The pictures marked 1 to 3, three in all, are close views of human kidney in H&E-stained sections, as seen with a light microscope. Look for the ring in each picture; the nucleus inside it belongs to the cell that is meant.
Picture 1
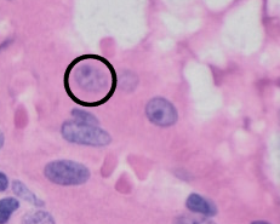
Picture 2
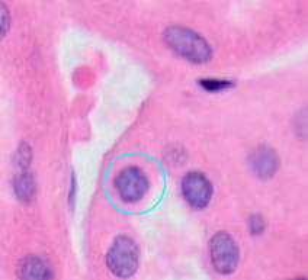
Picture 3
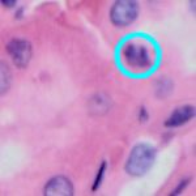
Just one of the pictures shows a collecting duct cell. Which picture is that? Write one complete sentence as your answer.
Picture 3 is the one that shows the collecting duct cell.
